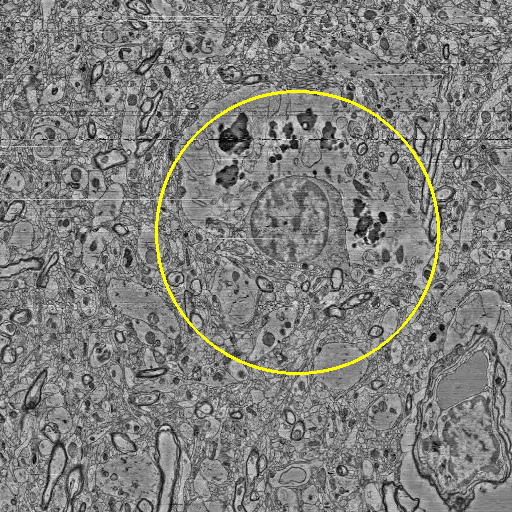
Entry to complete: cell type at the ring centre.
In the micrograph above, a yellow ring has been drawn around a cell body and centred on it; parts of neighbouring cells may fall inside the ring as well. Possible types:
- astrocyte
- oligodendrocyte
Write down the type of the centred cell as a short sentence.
The ring is centred on an oligodendrocyte.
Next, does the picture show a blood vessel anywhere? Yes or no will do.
Yes, a blood vessel can be seen.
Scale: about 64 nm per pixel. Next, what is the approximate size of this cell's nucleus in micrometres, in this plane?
About 6 micrometres by about 5 micrometres in this plane.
